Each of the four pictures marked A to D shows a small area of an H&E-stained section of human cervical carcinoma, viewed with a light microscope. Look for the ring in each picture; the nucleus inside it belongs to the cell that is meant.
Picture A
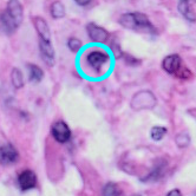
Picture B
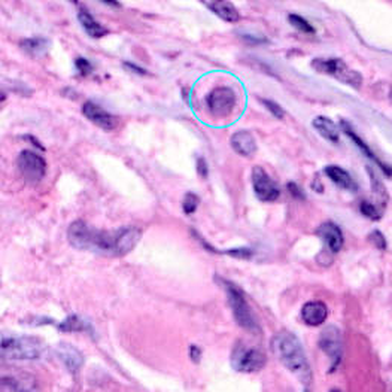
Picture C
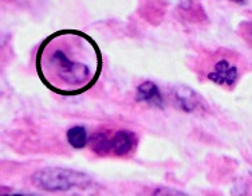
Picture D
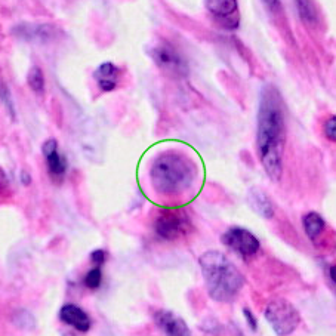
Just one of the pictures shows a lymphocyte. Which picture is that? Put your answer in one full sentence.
The lymphocyte is the one in picture A.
